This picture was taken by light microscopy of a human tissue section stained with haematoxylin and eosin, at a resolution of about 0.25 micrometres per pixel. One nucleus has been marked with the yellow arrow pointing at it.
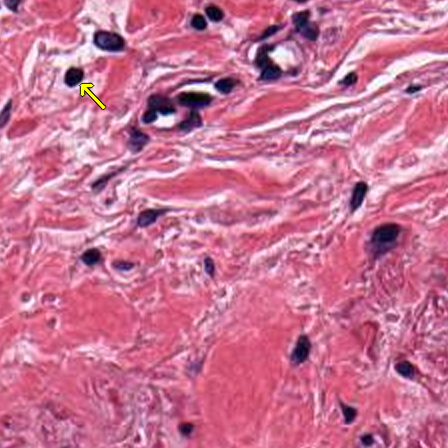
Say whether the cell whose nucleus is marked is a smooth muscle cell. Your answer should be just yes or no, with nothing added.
no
